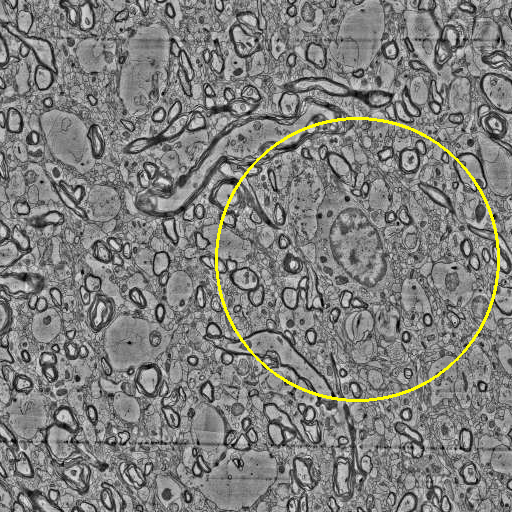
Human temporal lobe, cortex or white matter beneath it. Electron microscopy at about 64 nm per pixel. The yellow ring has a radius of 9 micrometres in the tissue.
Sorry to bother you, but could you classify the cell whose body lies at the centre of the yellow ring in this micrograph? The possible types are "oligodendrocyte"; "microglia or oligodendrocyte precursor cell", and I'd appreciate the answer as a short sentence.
The ringed cell body is that of an oligodendrocyte.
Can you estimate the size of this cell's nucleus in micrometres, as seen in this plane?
About 5 by 3 micrometres in this plane.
